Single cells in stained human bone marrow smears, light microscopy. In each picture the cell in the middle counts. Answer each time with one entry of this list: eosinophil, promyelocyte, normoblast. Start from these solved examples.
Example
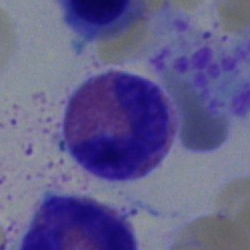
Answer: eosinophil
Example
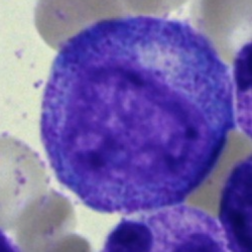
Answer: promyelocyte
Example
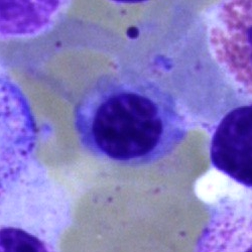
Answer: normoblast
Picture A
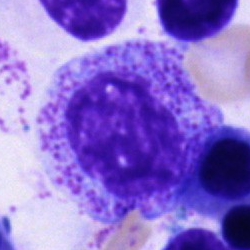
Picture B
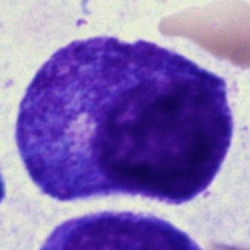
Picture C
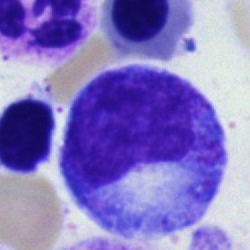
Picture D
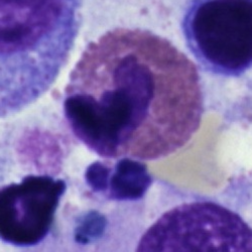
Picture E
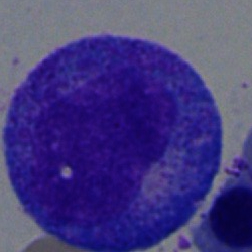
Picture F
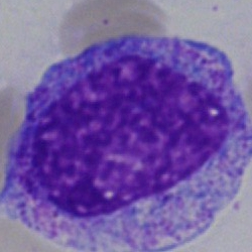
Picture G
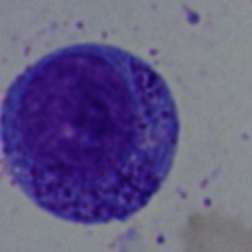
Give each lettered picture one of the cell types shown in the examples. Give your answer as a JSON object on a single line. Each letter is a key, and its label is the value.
{"A": "promyelocyte", "B": "promyelocyte", "C": "promyelocyte", "D": "eosinophil", "E": "promyelocyte", "F": "promyelocyte", "G": "promyelocyte"}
